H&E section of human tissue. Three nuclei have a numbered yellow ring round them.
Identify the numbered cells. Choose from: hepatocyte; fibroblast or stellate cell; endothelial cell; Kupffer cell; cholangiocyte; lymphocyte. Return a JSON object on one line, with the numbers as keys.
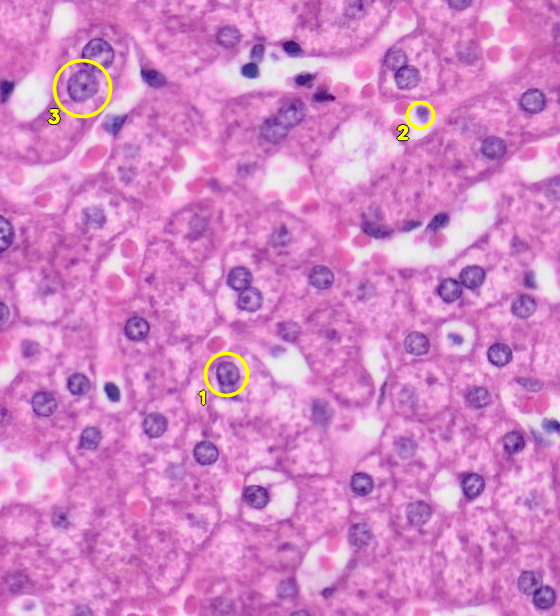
{"1": "hepatocyte", "2": "lymphocyte", "3": "hepatocyte"}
